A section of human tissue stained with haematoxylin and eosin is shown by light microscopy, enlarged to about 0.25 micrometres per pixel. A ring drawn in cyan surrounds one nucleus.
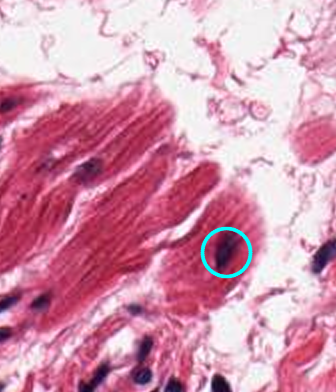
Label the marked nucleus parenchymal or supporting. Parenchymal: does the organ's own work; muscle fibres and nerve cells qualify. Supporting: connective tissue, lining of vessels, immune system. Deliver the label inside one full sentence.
The marked nucleus, belonging to a parenchymal cell, is that of a cardiomyocyte.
